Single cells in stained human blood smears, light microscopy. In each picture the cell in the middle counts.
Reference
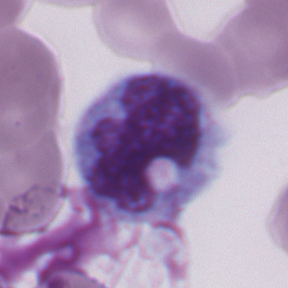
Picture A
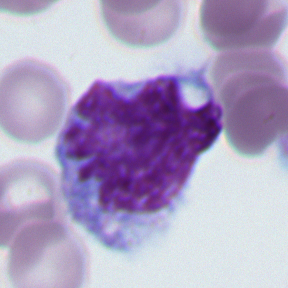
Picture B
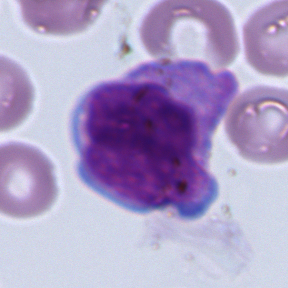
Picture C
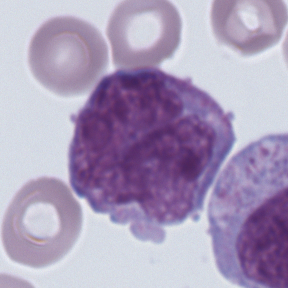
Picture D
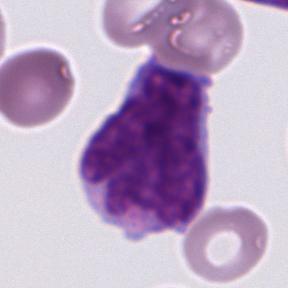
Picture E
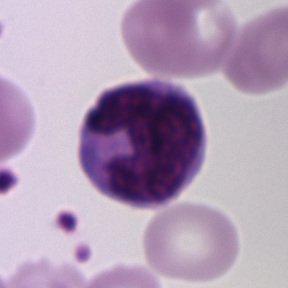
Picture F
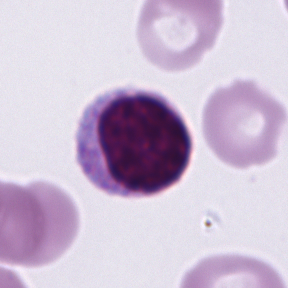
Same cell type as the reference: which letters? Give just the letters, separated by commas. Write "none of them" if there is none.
A, E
